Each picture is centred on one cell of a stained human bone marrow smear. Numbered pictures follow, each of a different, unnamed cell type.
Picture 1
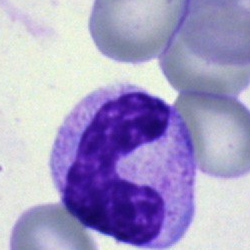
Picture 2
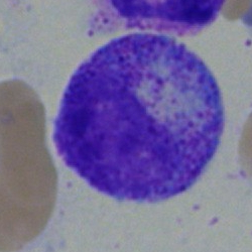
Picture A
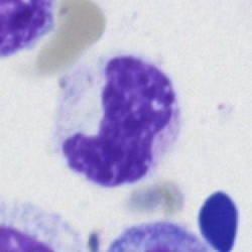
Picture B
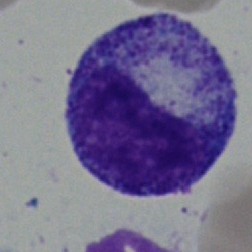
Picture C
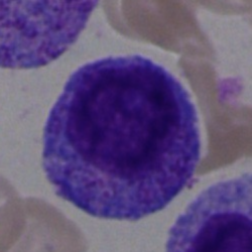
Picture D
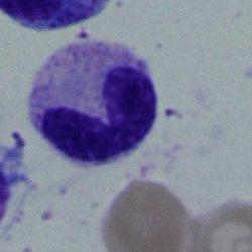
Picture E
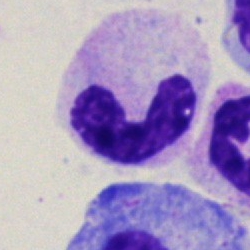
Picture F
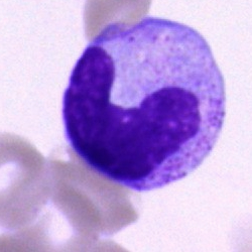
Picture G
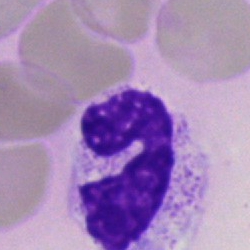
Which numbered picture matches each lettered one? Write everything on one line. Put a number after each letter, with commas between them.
A 1, B 2, C 2, D 1, E 1, F 1, G 1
